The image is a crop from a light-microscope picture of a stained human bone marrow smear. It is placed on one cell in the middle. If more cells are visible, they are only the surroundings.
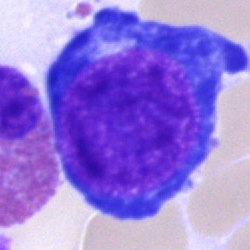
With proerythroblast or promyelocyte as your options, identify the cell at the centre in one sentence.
The cell shown in the center of this light-microscope crop is a proerythroblast.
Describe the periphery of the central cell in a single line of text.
Rather than running smoothly, the cell border is ragged or carries projections.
